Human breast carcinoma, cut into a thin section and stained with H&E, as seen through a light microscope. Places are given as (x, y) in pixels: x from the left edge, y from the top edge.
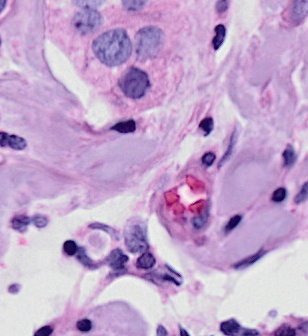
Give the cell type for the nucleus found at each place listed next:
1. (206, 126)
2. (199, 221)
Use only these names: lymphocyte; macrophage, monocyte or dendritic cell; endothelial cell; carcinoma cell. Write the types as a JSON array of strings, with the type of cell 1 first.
["lymphocyte", "endothelial cell"]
